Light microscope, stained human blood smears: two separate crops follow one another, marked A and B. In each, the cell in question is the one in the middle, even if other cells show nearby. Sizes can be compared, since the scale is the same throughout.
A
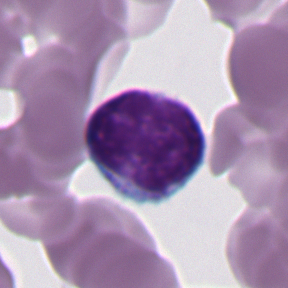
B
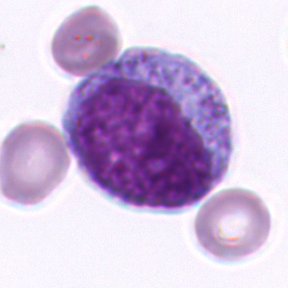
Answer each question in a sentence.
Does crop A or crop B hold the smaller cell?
Crop A holds the smaller cell, since the cell in crop B covers about 2 times as much area.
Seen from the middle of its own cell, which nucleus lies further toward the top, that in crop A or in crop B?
It is the nucleus in crop A that lies further toward the top of its cell.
